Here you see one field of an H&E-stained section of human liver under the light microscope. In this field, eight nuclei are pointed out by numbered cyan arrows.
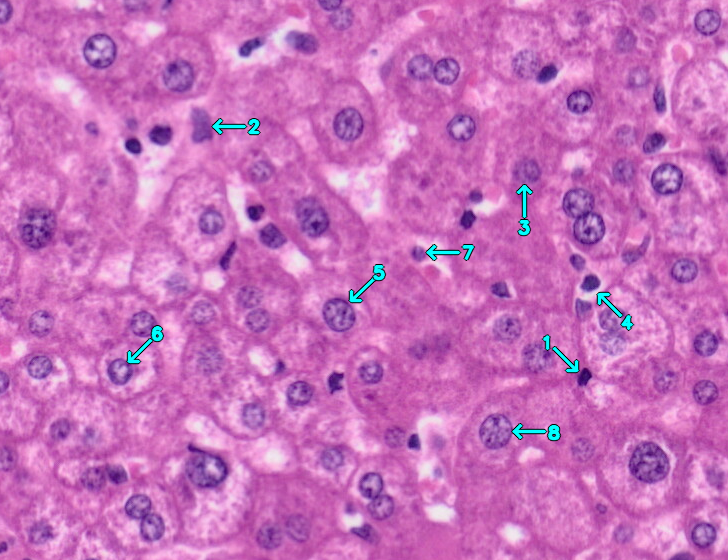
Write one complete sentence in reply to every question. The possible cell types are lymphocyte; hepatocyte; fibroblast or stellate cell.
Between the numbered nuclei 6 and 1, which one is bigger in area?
Nucleus 6 is larger, with an area about 2.5 times that of nucleus 1.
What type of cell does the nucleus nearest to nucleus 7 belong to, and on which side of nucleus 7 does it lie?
Just above and to the right of nucleus 7 lies the nearest nucleus, which belongs to a fibroblast or stellate cell.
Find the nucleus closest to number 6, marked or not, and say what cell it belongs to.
It is a hepatocyte whose nucleus is nearest to number 6.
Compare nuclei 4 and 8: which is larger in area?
Number 8 is larger; its area is about 3 times that of number 4.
